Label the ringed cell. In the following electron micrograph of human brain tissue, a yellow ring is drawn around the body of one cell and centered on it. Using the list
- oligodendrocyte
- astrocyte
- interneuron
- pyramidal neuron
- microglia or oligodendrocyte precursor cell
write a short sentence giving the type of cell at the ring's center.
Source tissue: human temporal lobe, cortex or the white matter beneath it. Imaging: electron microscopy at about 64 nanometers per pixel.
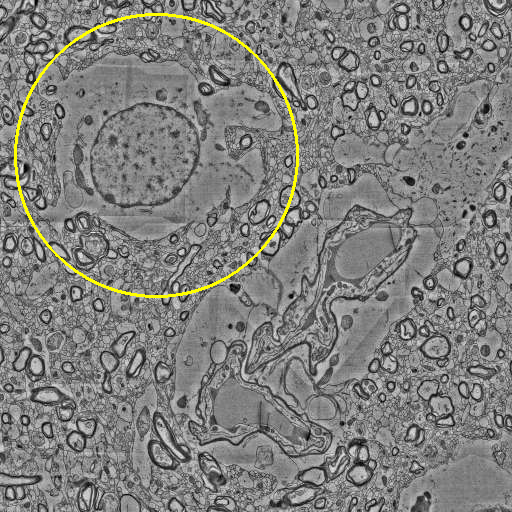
The cell body at the ring's center is that of an astrocyte.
